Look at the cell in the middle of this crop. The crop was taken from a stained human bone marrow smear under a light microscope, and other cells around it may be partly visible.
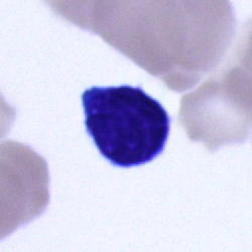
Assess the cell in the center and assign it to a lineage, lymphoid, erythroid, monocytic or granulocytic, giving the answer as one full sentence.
The correct lineage for the cell at the center is the lymphoid one.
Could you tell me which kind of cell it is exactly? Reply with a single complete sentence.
The middle position in this crop is taken by a lymphocyte.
